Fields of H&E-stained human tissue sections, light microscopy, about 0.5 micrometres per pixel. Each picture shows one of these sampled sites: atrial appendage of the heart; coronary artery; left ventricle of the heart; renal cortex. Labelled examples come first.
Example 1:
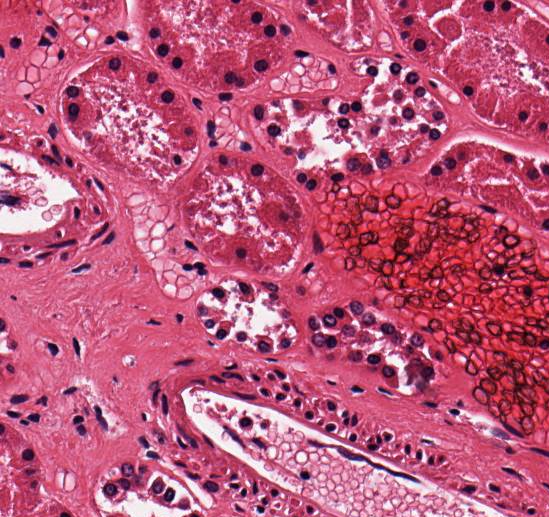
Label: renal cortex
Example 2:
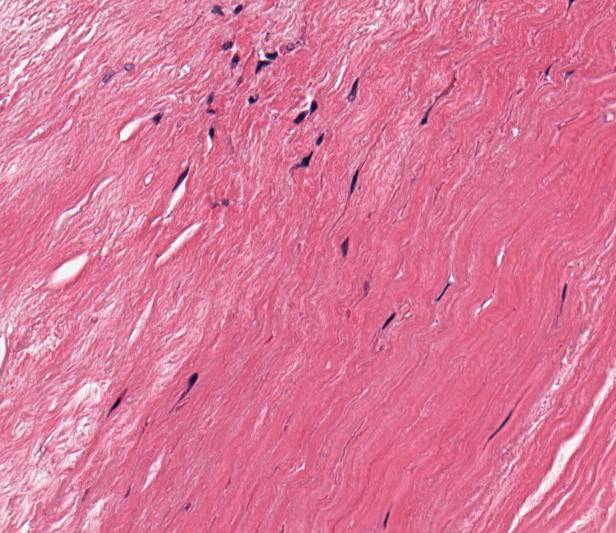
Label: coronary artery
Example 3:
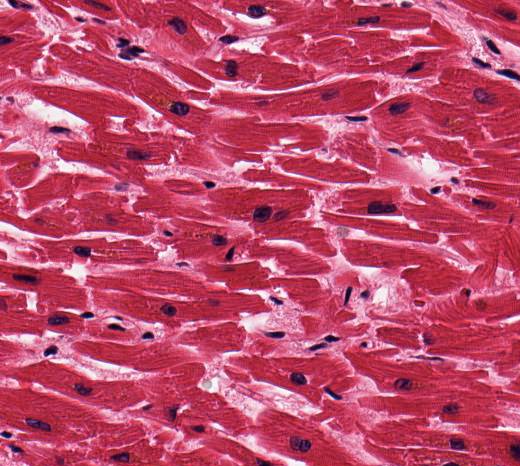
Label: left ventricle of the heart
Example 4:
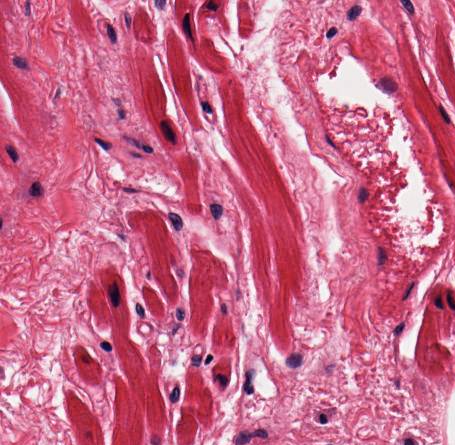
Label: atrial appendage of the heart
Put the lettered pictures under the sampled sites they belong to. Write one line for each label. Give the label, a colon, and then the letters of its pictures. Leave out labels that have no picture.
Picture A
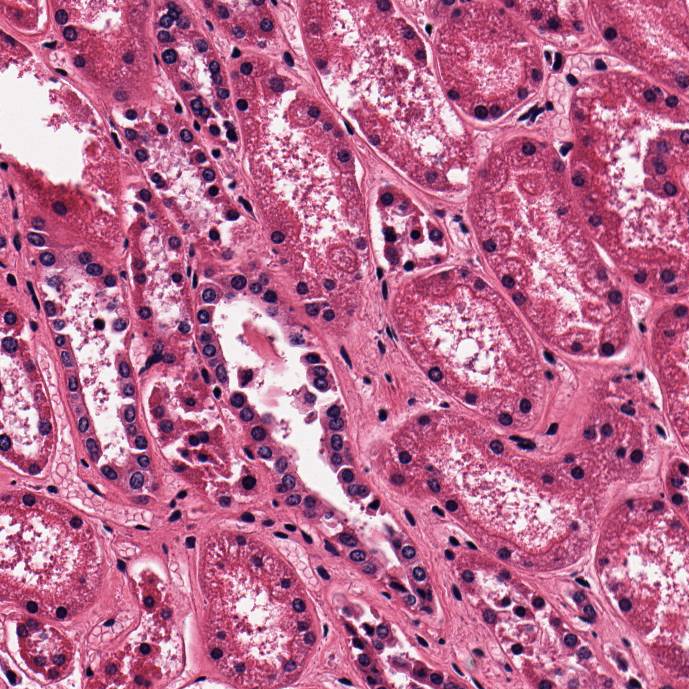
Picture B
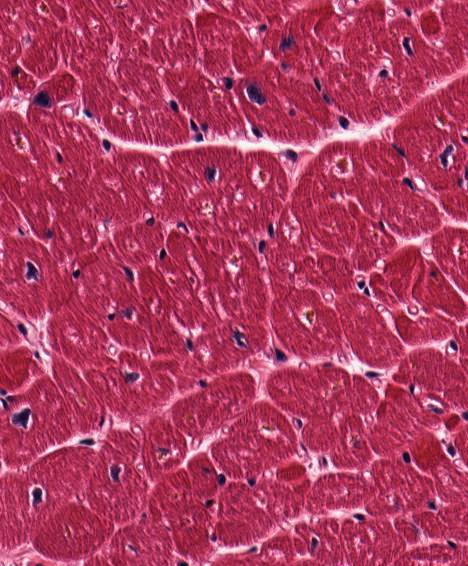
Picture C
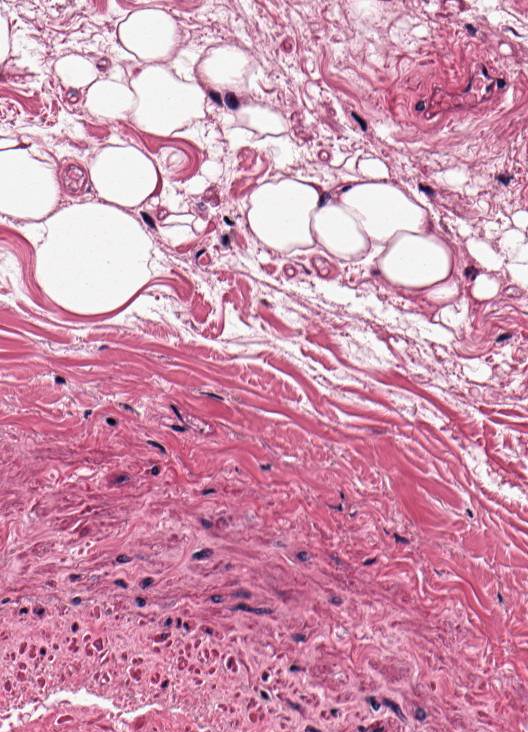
coronary artery: C
left ventricle of the heart: B
renal cortex: A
